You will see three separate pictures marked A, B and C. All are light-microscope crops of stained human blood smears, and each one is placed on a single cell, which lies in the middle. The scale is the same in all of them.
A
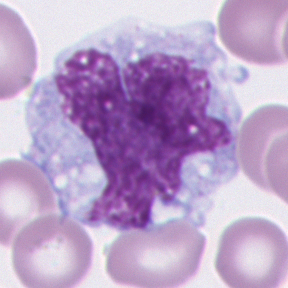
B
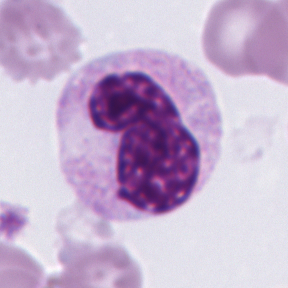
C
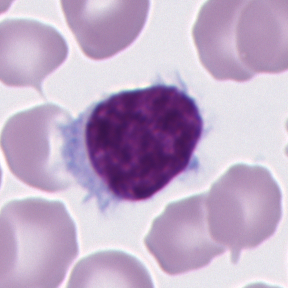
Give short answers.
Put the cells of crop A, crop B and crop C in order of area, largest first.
A, B, C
